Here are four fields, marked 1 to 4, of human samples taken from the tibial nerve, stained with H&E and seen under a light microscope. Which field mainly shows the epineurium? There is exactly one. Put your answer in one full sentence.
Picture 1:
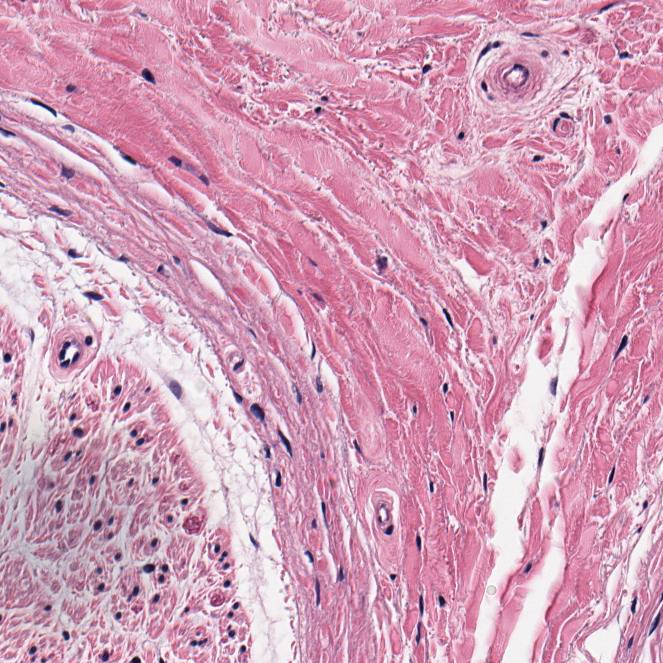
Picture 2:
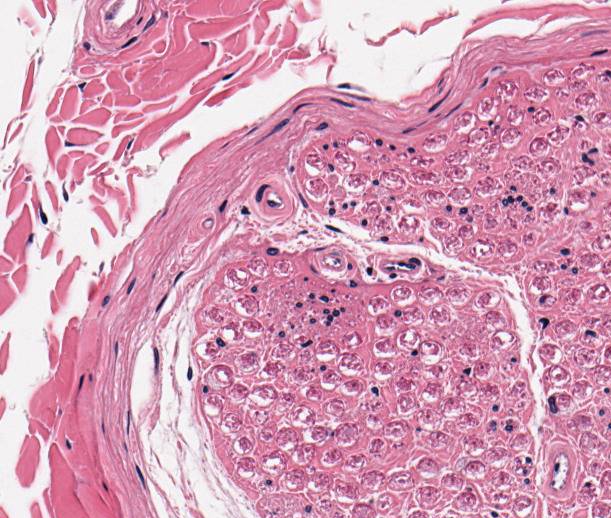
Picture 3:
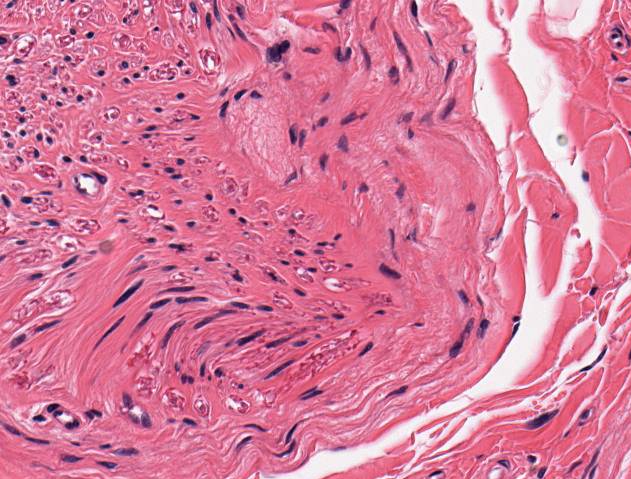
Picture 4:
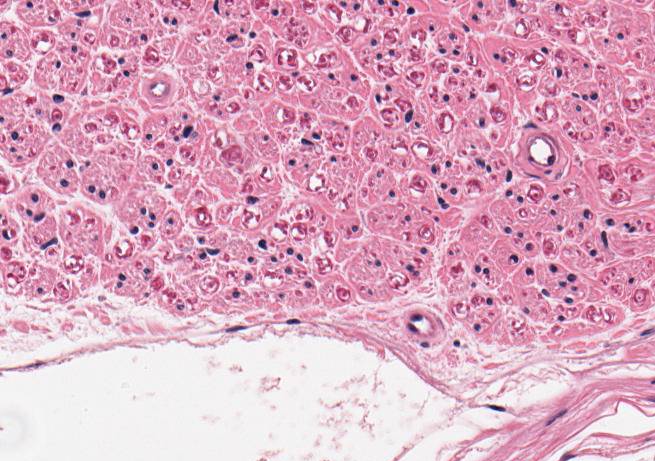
Picture 1 mainly shows the epineurium.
